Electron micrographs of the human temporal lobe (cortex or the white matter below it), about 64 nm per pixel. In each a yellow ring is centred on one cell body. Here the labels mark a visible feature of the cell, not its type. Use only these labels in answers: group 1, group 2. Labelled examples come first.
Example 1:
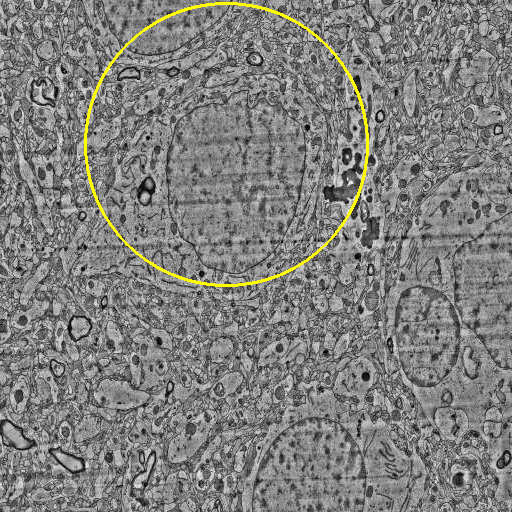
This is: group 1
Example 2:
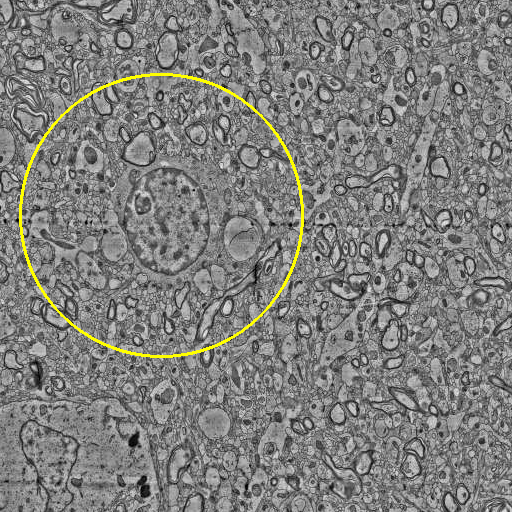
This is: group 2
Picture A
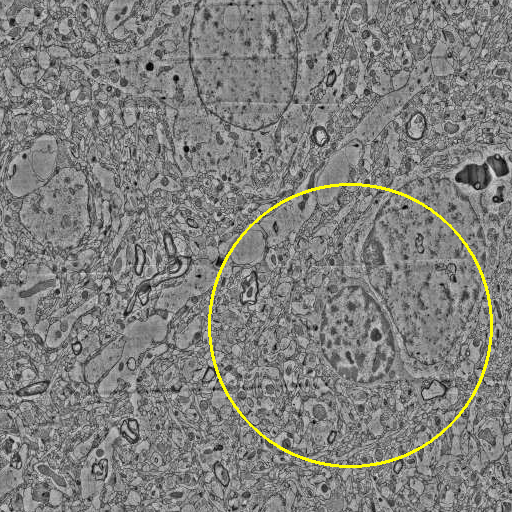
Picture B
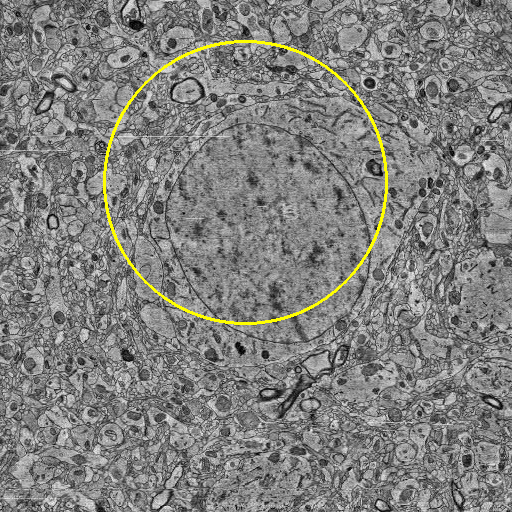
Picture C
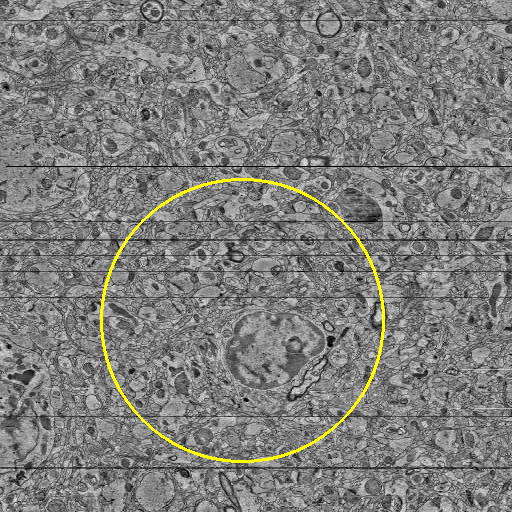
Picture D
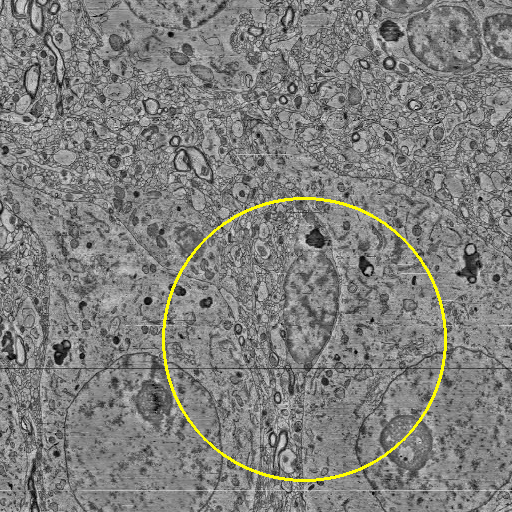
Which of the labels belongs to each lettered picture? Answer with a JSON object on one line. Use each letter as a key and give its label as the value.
{"A": "group 2", "B": "group 1", "C": "group 2", "D": "group 1"}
